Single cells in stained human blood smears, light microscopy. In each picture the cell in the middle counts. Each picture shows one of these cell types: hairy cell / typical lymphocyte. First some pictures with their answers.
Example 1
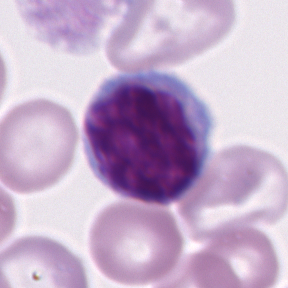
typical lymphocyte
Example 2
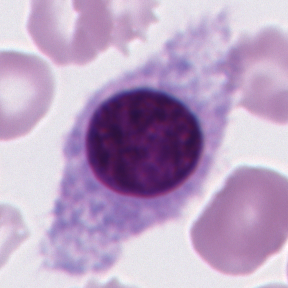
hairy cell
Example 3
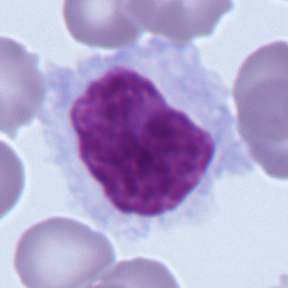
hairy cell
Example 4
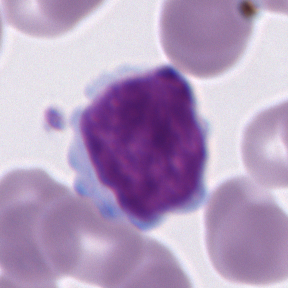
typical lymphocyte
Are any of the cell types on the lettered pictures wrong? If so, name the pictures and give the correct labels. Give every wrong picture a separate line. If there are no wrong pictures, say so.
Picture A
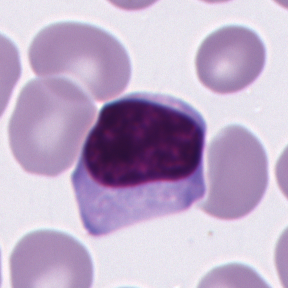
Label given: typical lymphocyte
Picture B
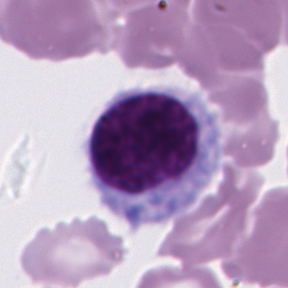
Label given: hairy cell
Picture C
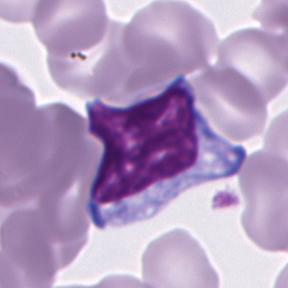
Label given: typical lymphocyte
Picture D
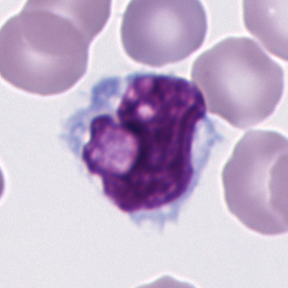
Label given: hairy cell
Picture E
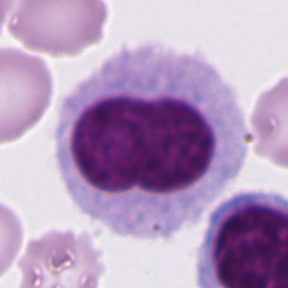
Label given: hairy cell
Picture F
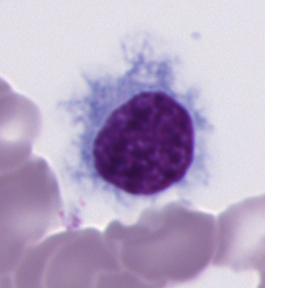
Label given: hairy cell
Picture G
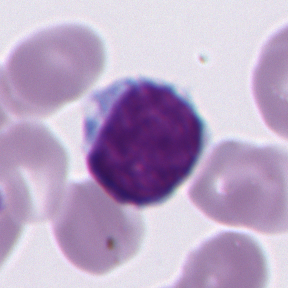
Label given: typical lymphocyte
Every label is right.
